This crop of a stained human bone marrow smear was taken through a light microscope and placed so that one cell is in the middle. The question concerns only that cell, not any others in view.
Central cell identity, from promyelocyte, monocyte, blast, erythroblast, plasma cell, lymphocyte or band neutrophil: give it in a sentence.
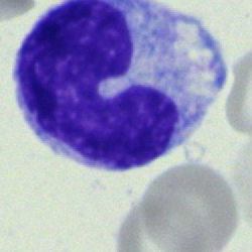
The middle cell in this particular crop is a monocyte.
